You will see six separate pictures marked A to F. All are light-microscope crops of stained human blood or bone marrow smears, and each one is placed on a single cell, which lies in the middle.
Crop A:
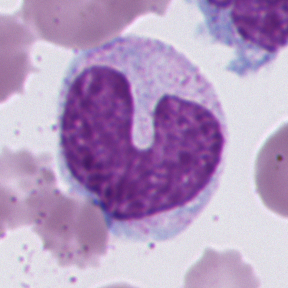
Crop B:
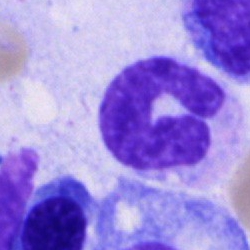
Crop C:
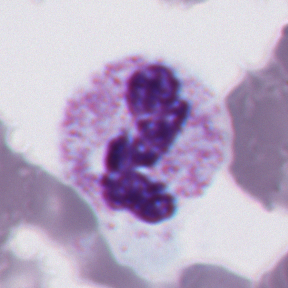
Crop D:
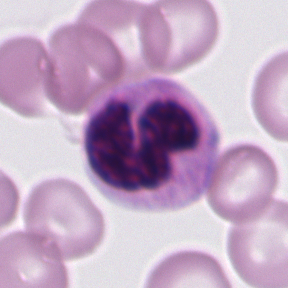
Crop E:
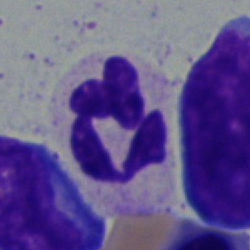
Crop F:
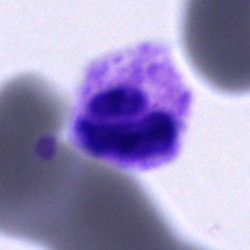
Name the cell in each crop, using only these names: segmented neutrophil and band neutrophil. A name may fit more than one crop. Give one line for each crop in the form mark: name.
A: band neutrophil
B: band neutrophil
C: segmented neutrophil
D: segmented neutrophil
E: segmented neutrophil
F: segmented neutrophil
